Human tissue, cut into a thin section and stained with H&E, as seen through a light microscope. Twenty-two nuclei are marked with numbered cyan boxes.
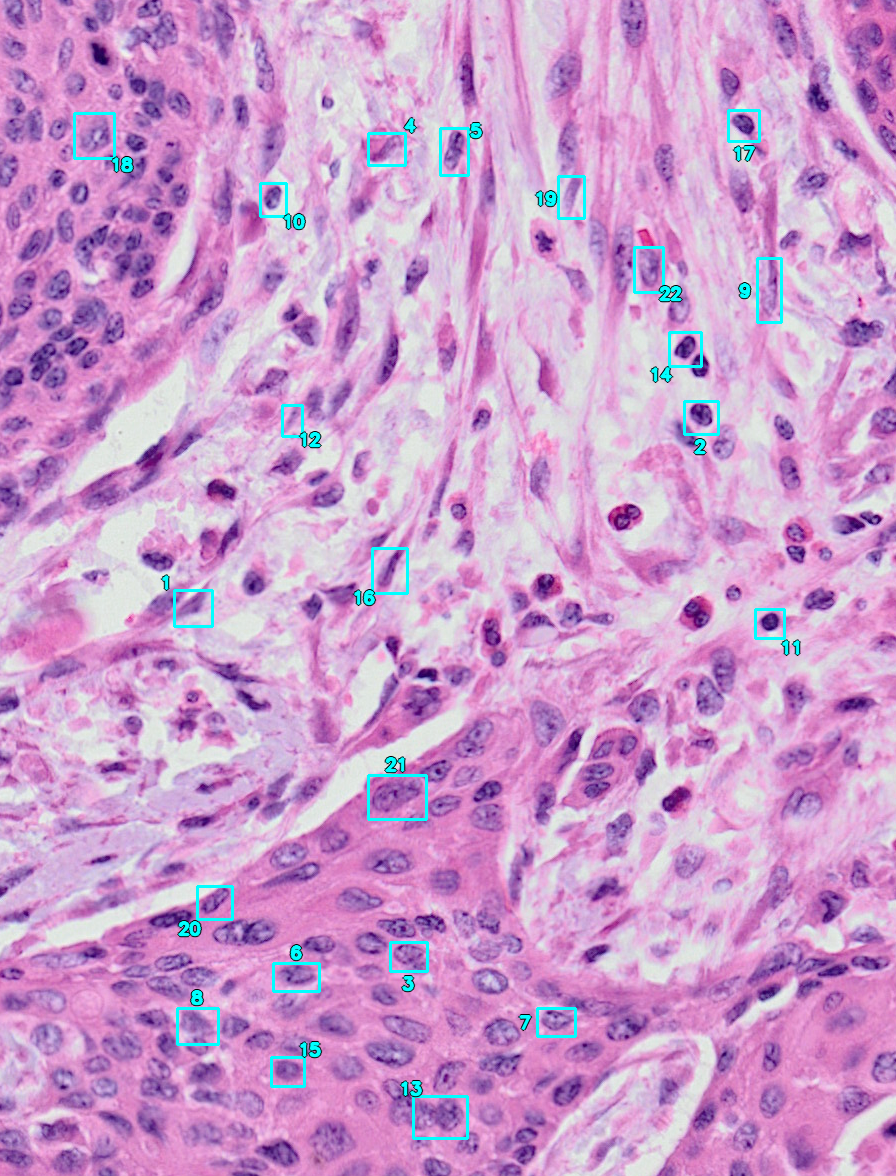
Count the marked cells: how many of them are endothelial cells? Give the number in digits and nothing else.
1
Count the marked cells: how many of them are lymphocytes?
5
